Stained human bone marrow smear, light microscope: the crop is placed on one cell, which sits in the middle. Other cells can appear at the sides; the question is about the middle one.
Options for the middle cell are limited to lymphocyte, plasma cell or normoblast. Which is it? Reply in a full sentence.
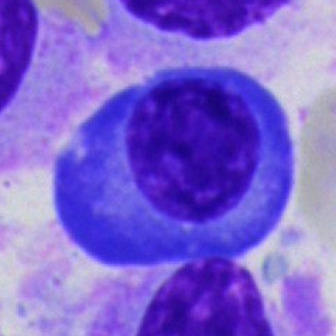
The cell occupying the middle of the crop is a plasma cell.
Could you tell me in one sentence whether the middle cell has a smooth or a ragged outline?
Edge check done: smooth outline, no projections present.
